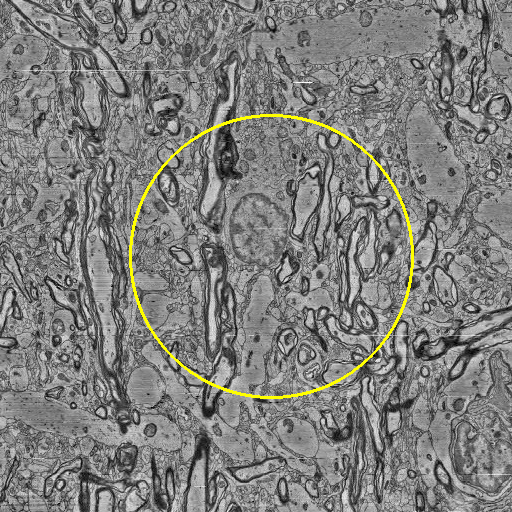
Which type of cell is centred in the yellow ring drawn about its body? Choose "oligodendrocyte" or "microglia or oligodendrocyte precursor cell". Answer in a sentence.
The yellow ring surrounds the cell body of an oligodendrocyte.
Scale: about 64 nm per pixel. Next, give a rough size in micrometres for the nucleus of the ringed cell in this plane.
Roughly 5 by 4 micrometres in this plane, for the nucleus of the ringed cell.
